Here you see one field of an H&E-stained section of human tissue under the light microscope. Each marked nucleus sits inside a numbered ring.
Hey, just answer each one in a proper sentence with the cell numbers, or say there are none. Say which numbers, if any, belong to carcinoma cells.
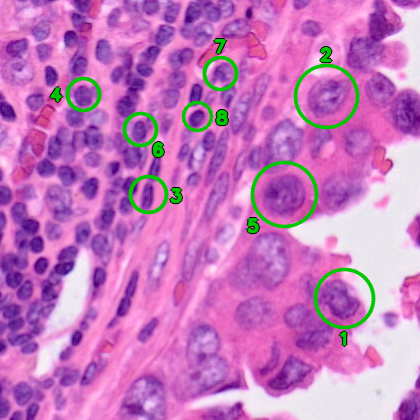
The cells whose numbers are 1, 2 and 5 are carcinoma cells.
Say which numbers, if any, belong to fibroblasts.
In this section, none of the numbered cells are fibroblasts.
